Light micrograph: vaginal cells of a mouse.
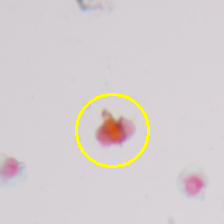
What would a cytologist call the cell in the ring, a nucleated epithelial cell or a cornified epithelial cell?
A cytologist would call it a cornified epithelial cell.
